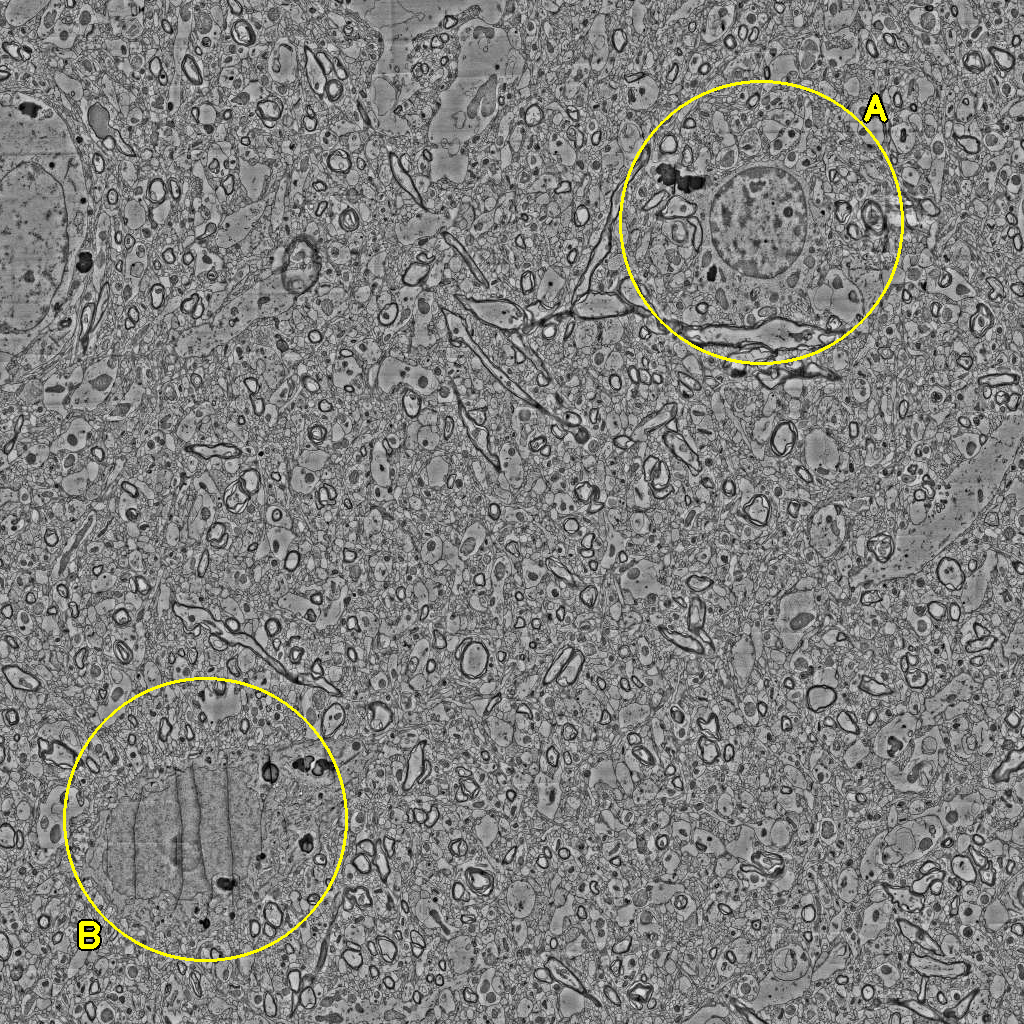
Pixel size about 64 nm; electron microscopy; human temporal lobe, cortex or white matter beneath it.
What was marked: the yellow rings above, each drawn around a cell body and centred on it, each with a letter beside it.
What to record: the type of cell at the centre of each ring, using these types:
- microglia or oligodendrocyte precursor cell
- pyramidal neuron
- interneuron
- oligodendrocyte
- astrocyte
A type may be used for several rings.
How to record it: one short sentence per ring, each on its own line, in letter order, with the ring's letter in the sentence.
Centred in ring A is an oligodendrocyte.
Centred in ring B is a pyramidal neuron.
